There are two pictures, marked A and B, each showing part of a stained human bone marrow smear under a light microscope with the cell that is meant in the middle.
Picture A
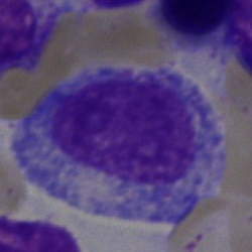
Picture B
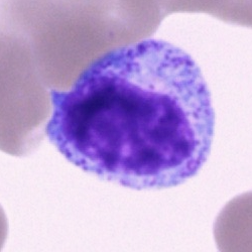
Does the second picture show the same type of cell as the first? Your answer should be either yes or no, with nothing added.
no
